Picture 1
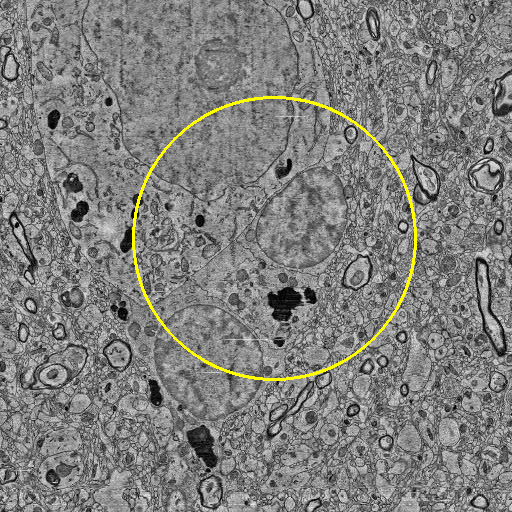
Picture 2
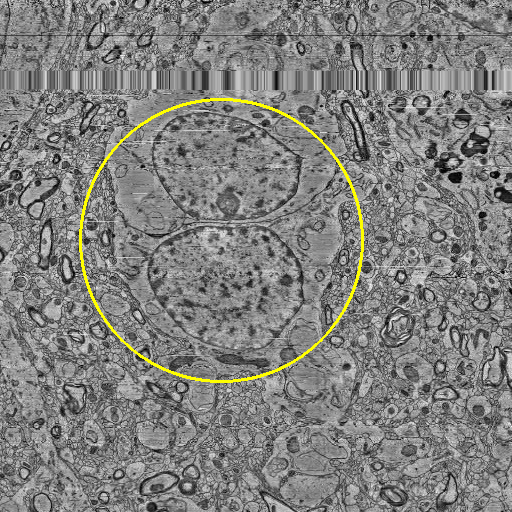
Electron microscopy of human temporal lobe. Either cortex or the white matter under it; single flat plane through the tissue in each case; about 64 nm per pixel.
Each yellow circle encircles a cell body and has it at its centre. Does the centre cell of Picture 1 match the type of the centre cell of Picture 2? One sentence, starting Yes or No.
No, the cell centred in Picture 1 and the one in Picture 2 have separate types.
